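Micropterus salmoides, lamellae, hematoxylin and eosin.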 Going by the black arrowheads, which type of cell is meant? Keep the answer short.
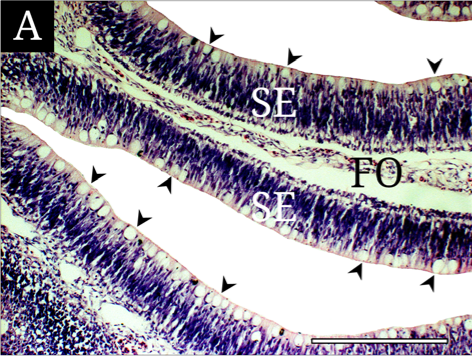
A: Mucous cell.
